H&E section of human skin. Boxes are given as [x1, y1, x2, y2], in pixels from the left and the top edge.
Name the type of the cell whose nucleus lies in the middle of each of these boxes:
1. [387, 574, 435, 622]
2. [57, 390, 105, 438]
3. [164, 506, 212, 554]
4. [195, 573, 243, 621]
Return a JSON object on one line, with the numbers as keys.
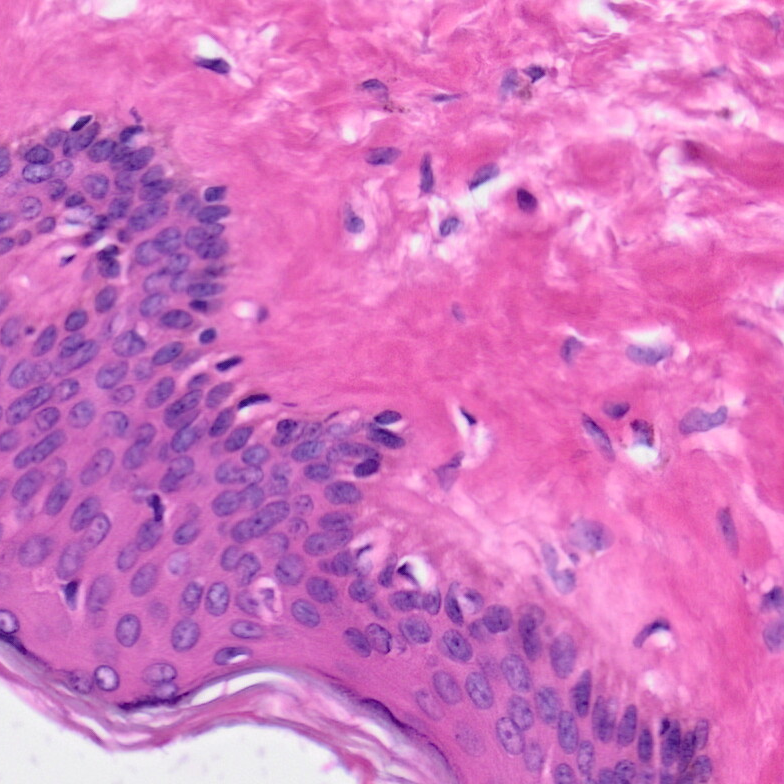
{"1": "basal keratinocyte", "2": "suprabasal keratinocyte", "3": "suprabasal keratinocyte", "4": "suprabasal keratinocyte"}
